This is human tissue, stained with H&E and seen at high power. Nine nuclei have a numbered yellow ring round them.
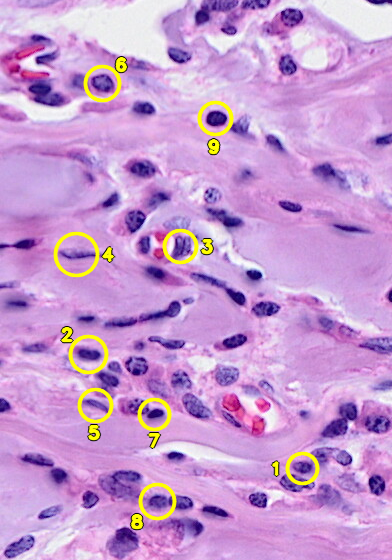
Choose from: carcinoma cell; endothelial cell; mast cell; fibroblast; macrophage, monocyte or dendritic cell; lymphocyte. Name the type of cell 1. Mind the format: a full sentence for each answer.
The one numbered 1 among the marked cells is a lymphocyte.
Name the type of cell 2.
Regarding cell 2, this one is a lymphocyte.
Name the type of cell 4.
The expected answer is that cell 4 is a fibroblast.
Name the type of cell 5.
The one labeled 5 is a fibroblast, to put it simply.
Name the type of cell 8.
Among the marked nuclei, number 8 belongs to a lymphocyte.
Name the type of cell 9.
Cell 9 should be recorded as a lymphocyte.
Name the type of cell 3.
Cell 3 in the field is an endothelial cell.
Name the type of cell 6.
The cell marked with number 6 is a mast cell.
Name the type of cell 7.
Among the marked cells, number 7 is a lymphocyte.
